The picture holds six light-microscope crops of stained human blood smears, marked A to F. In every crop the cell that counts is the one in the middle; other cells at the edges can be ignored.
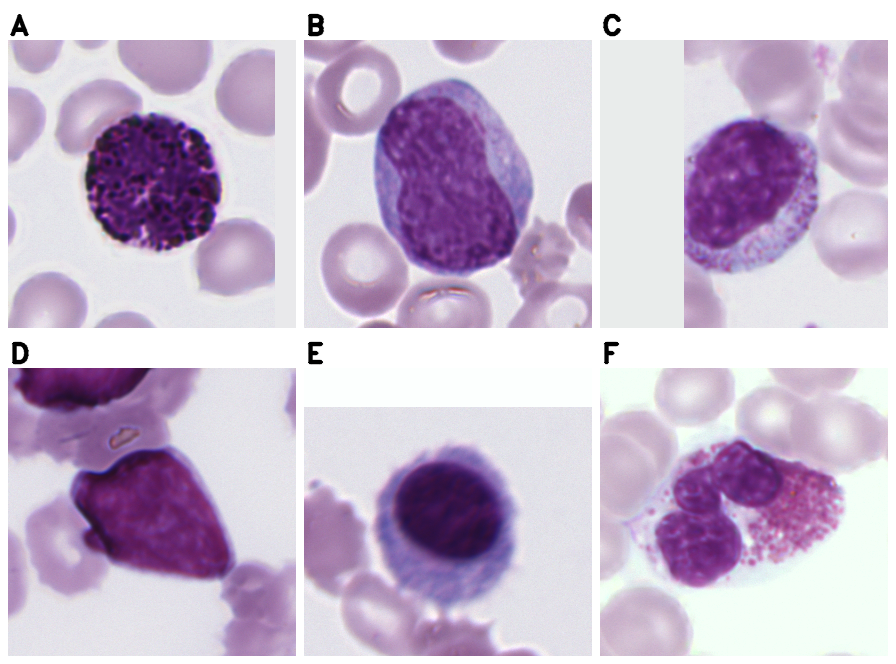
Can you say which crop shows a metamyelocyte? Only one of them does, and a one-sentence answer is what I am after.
Identified crop: C, the one that shows a metamyelocyte.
